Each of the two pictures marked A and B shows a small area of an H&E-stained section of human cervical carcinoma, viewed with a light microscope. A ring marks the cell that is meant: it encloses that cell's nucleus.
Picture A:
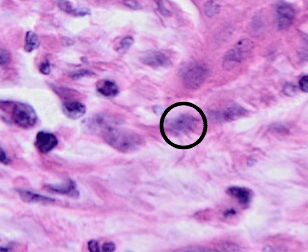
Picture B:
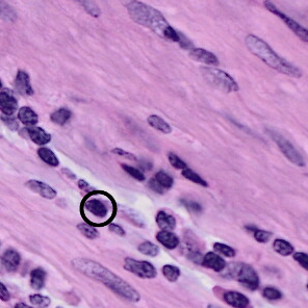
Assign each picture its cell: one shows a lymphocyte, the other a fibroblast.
A: fibroblast
B: lymphocyte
